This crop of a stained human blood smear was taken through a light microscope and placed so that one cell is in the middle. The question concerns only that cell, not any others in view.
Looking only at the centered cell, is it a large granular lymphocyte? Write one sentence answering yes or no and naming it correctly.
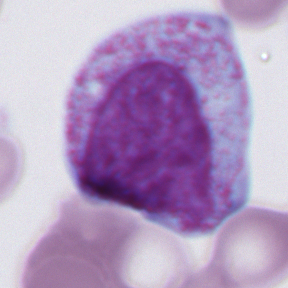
No, it is not a large granular lymphocyte that lies in the middle but a myelocyte.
